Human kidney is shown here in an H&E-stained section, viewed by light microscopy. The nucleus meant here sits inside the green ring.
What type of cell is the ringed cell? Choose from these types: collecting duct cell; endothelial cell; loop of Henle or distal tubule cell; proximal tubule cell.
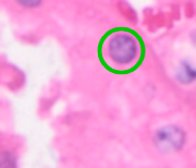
proximal tubule cell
